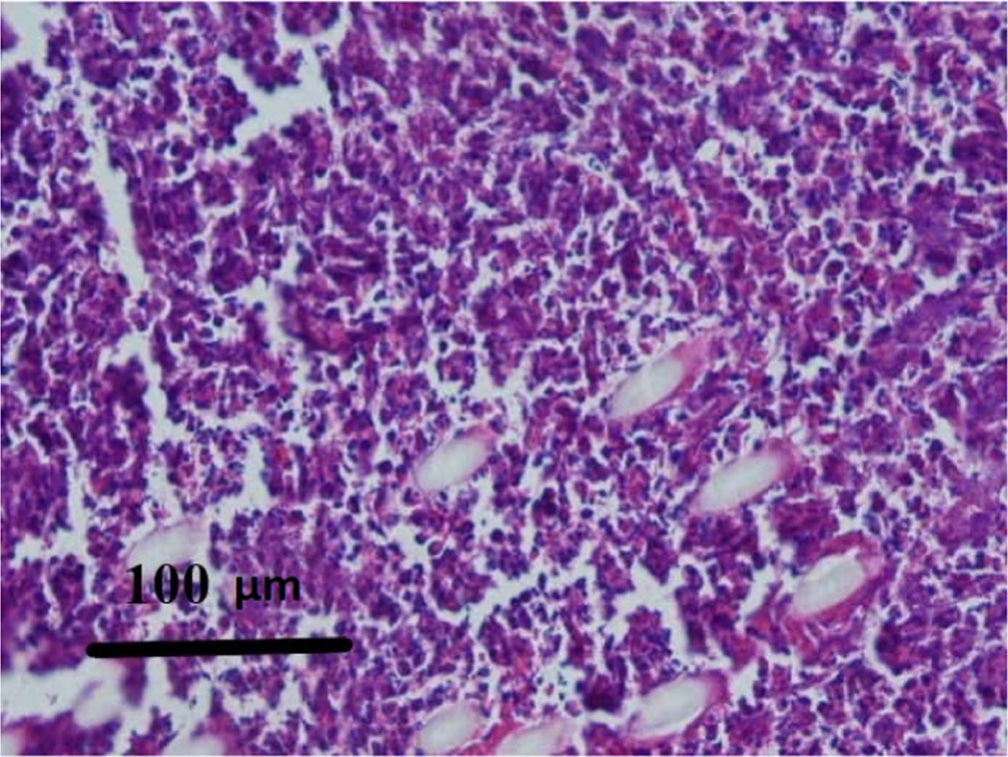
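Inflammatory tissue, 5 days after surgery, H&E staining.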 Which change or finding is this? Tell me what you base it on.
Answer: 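The field is packed with densely crowded small cells with dark purple nuclei. Little normal tissue architecture remains between the cells. The crowded cells fill the field from edge to edge. So: Severe infiltration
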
